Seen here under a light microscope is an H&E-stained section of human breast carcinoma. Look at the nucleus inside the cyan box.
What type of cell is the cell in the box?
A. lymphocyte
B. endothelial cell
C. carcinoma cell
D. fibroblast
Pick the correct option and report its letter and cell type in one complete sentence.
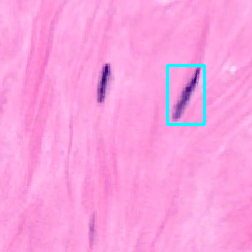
The right option is D, the cell in the box being a fibroblast.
